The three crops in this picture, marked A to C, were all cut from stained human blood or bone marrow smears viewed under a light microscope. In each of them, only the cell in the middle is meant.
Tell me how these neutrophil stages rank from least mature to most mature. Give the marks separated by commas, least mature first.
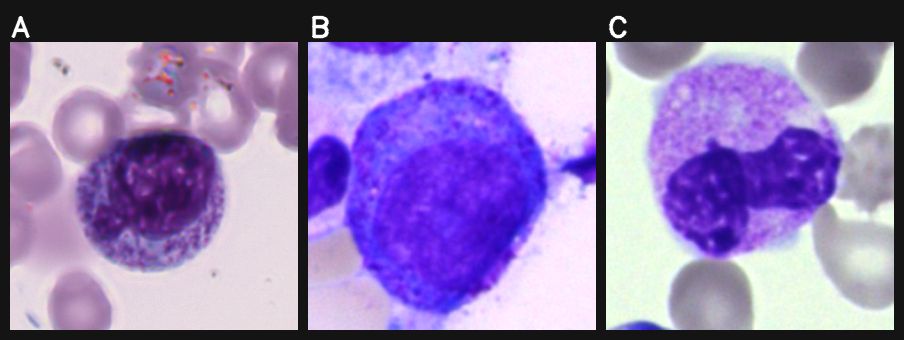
B, A, C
